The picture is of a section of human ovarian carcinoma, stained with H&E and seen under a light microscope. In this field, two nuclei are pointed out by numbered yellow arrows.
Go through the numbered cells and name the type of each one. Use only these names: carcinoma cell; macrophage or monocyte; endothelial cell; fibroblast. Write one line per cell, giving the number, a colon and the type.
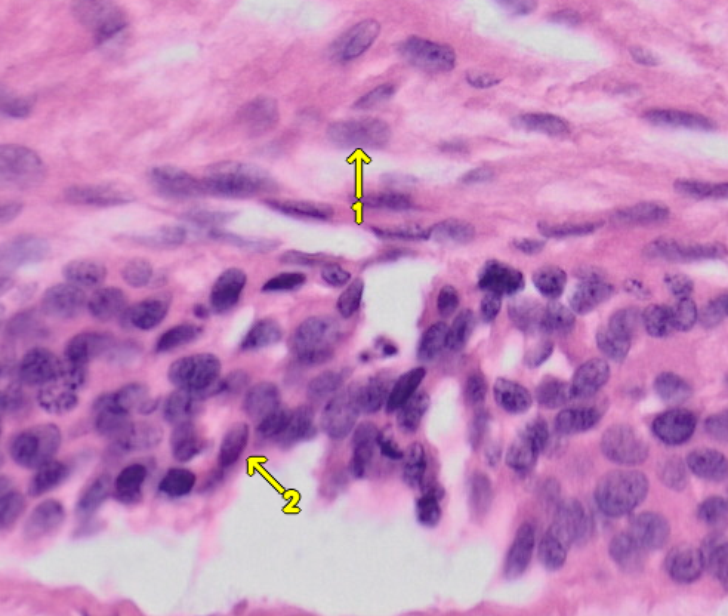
1: fibroblast
2: carcinoma cell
